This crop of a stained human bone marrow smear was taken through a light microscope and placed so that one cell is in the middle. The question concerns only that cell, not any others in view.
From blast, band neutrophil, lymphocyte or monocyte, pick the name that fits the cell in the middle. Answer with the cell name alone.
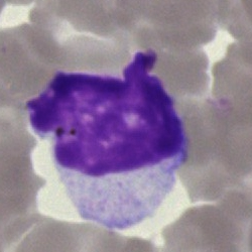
blast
